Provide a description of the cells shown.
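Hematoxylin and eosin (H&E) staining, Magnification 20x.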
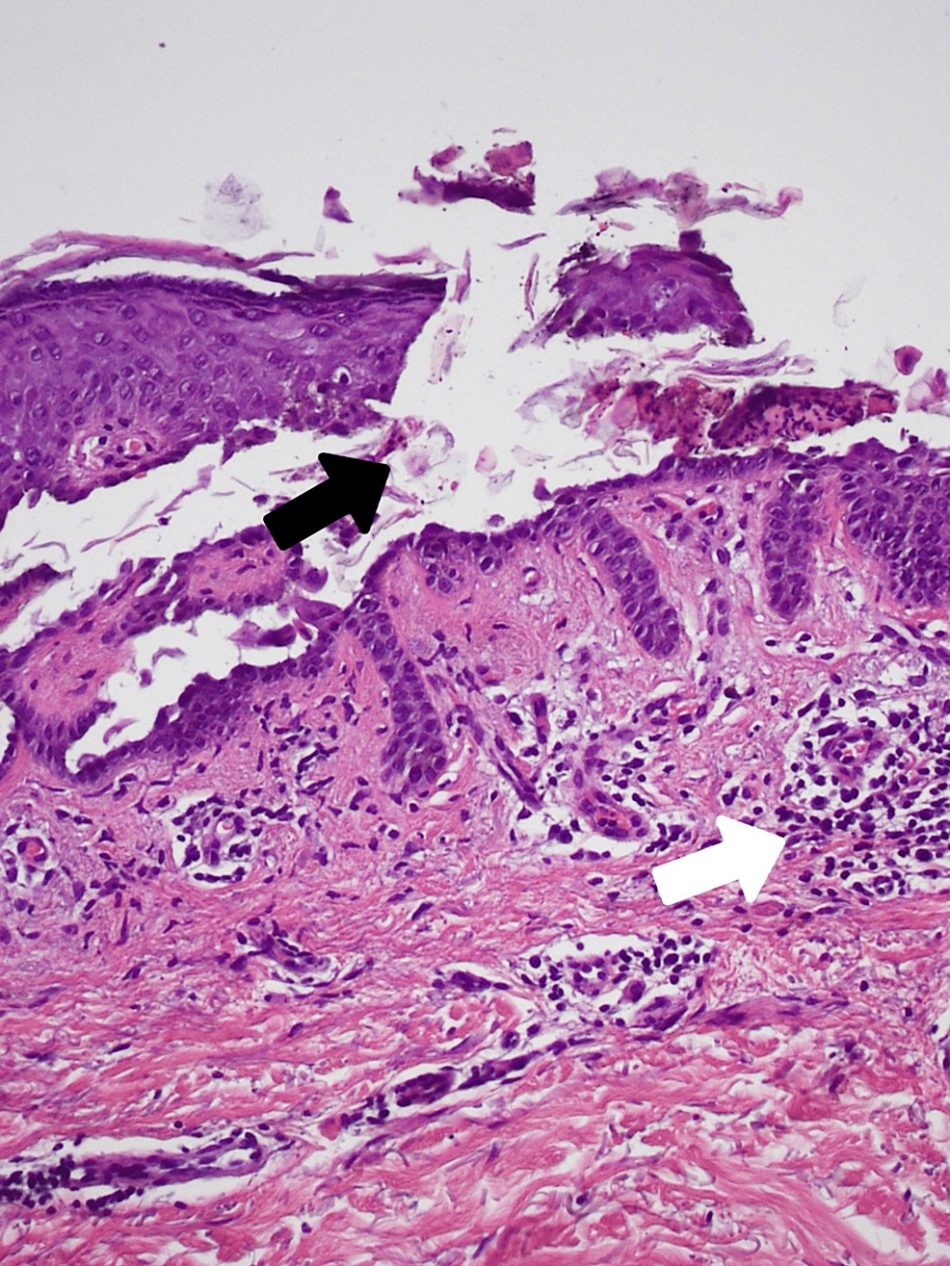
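This is skin with a split inside the epidermis just above the basal layer: a single row of purple basal keratinocytes stays attached along the dermal papillae, while the overlying layers of keratinocytes lie separated above a white cleft. Loose cells and debris sit in the cleft, with crusted pink and purple material on the surface. In the pink collagenous dermis below, small round dark-purple nuclei of mononuclear inflammatory cells gather in dense clusters around small vessels.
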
